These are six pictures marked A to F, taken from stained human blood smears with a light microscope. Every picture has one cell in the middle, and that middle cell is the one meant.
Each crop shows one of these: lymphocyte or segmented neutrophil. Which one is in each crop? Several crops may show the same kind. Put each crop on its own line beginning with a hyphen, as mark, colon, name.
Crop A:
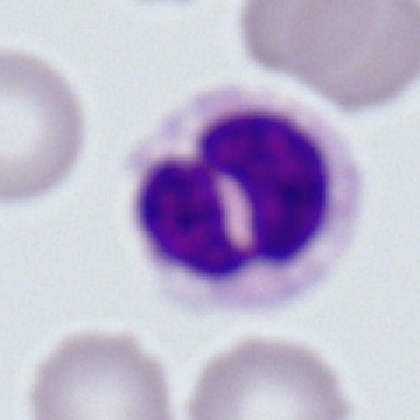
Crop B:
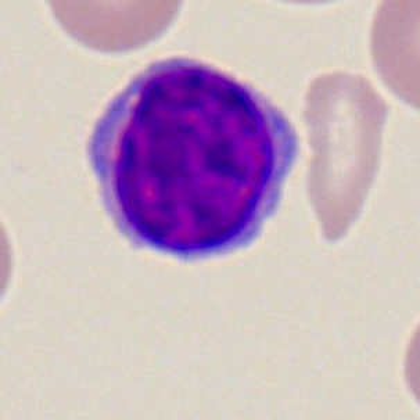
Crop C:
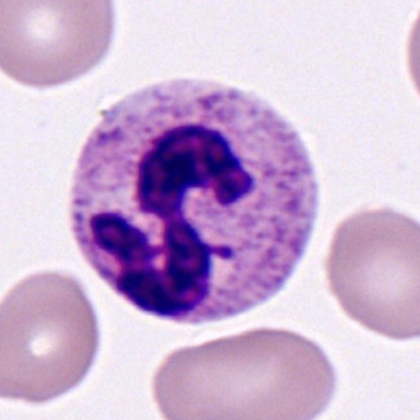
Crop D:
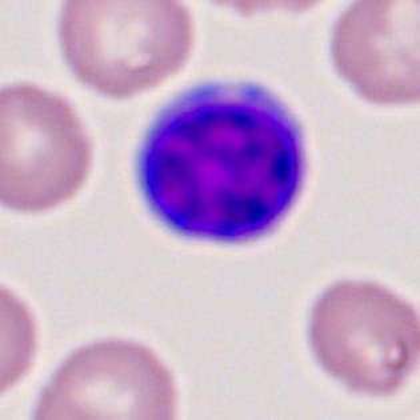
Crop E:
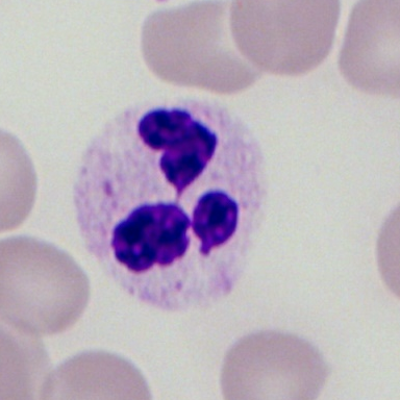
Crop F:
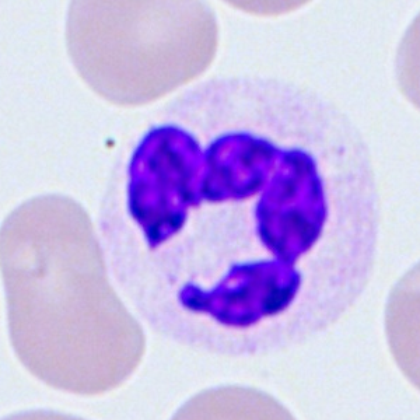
- A: segmented neutrophil
- B: lymphocyte
- C: segmented neutrophil
- D: lymphocyte
- E: segmented neutrophil
- F: segmented neutrophil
